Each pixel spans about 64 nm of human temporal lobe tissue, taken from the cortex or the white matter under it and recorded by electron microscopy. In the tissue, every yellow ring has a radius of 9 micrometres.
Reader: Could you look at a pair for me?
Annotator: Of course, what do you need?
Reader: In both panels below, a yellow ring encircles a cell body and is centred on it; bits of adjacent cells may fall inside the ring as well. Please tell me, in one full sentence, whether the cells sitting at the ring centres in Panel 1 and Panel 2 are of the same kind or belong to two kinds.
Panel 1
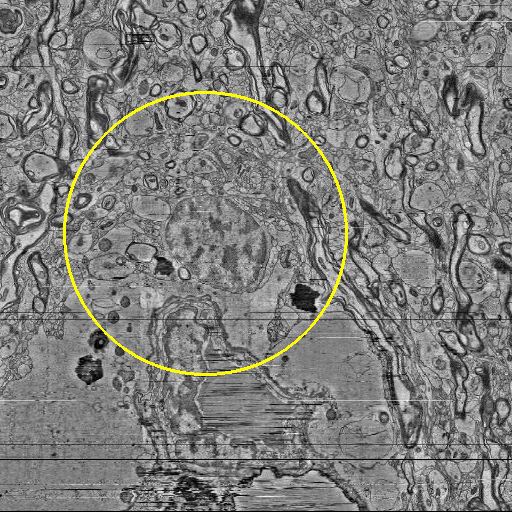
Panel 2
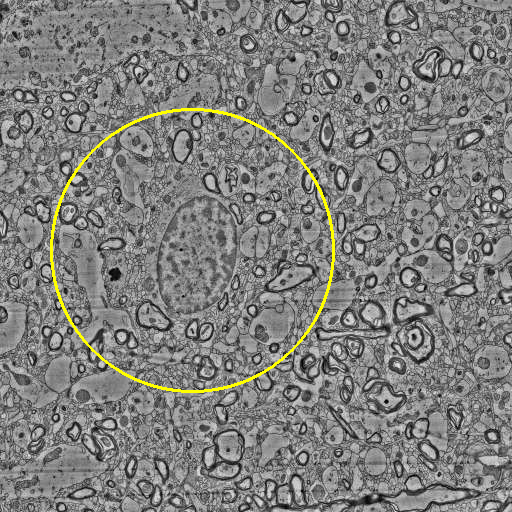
The cell at the ring's centre in Panel 1 and the one in Panel 2 are of the same kind.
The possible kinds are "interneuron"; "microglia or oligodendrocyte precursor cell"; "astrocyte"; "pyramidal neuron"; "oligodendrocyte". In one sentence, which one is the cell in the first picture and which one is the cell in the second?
Both the first and the second picture show an oligodendrocyte in the ring.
